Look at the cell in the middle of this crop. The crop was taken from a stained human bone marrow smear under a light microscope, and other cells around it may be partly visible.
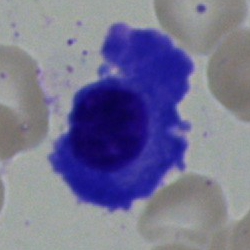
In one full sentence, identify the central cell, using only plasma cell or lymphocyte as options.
This crop is built around a plasma cell at its centre.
